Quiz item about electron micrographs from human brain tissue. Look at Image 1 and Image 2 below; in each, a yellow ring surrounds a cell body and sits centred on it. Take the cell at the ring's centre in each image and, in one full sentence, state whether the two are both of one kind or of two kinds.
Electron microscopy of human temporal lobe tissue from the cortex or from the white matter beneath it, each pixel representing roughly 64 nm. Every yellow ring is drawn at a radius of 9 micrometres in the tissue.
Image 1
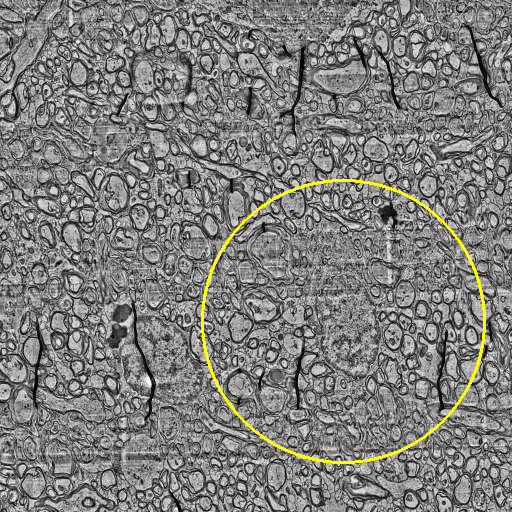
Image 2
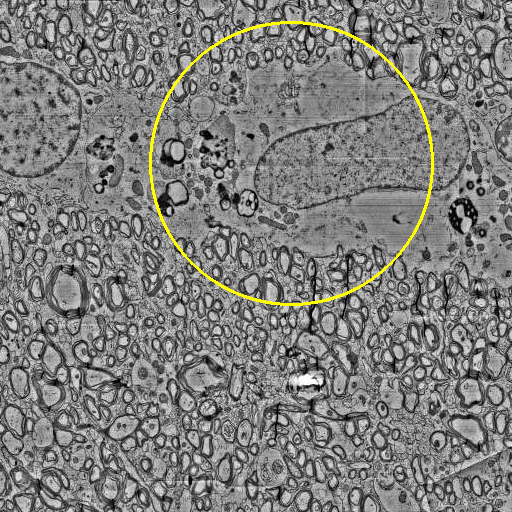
In Image 1 and Image 2, the cells at the ring centres are of two kinds.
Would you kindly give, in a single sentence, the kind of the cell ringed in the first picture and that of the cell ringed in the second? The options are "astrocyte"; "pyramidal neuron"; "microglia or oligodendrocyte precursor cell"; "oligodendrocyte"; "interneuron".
The second cell is an astrocyte, and the first cell is an oligodendrocyte.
